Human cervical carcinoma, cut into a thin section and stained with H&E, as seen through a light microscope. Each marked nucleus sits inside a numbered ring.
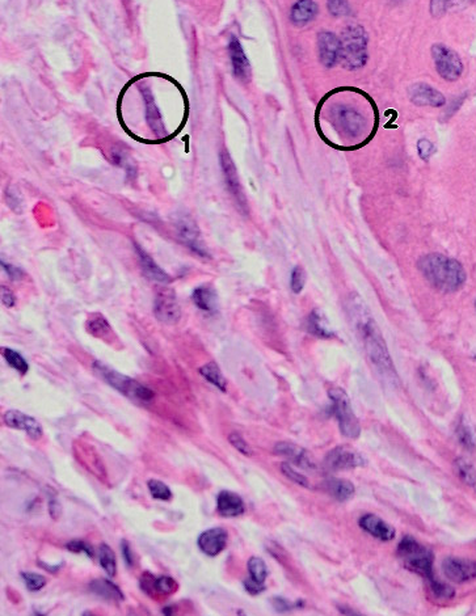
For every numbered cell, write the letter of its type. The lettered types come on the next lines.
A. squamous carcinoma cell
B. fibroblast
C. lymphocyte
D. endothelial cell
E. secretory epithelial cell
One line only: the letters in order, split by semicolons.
B; A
